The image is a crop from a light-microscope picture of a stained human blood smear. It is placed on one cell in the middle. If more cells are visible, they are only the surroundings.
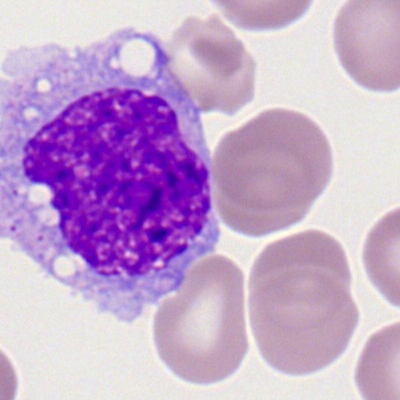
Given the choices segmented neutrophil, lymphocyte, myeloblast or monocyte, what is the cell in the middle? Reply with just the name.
monocyte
